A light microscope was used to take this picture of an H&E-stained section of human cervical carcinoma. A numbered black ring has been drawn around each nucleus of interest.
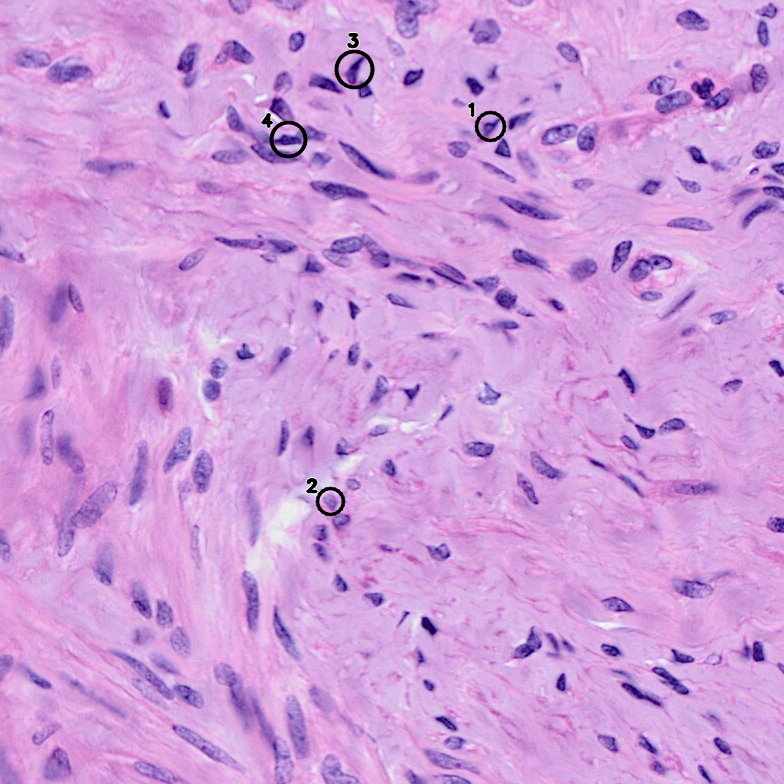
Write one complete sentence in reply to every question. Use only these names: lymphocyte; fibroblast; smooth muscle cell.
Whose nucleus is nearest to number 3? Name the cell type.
Closest to number 3 lies the nucleus of a fibroblast.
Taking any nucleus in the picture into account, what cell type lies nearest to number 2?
Number 2 lies closest to the nucleus of a smooth muscle cell.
